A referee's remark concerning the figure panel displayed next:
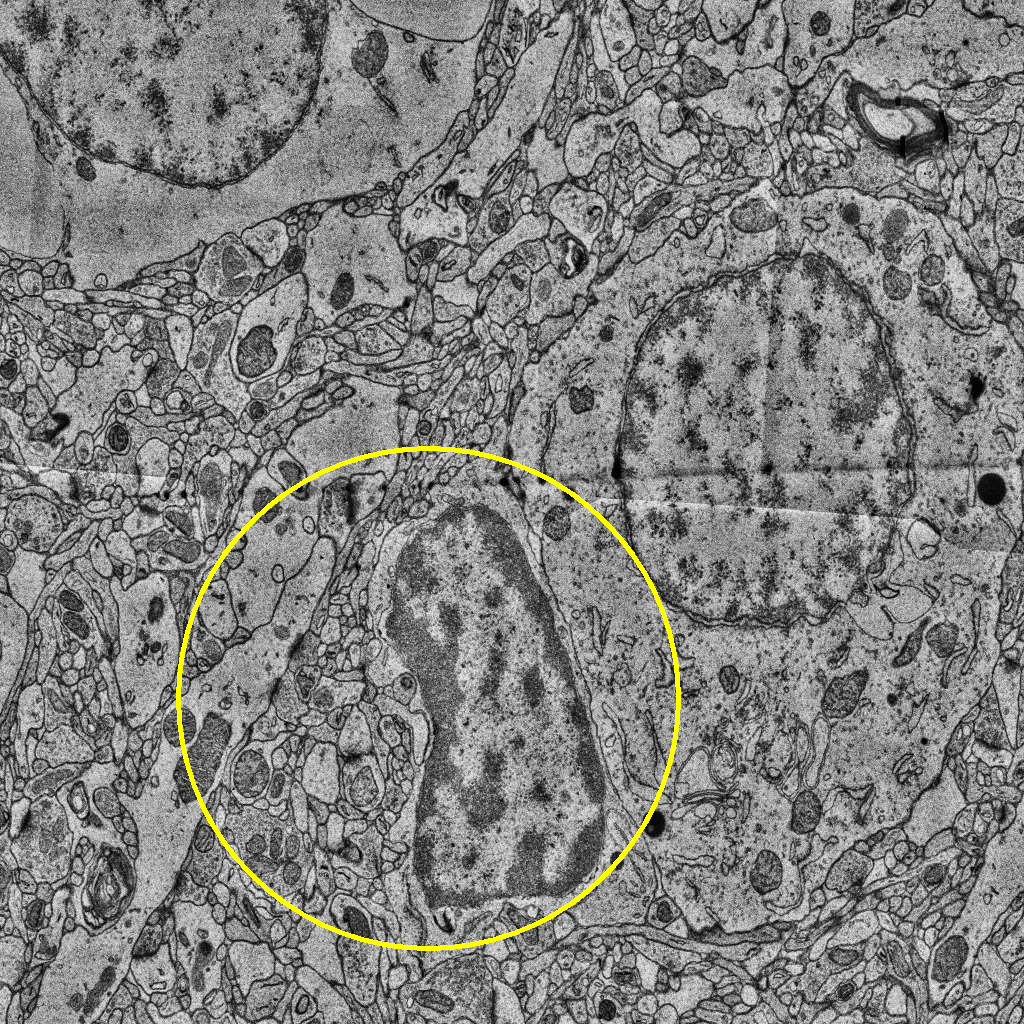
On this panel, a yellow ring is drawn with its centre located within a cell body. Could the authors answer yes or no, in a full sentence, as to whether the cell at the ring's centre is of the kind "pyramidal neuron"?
No, the cell sitting at the middle of the ring on this panel belongs to a different kind.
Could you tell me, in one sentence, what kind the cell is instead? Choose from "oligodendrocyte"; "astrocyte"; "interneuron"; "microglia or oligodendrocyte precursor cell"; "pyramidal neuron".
The cell at the ring centre is a microglial cell or oligodendrocyte precursor cell.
